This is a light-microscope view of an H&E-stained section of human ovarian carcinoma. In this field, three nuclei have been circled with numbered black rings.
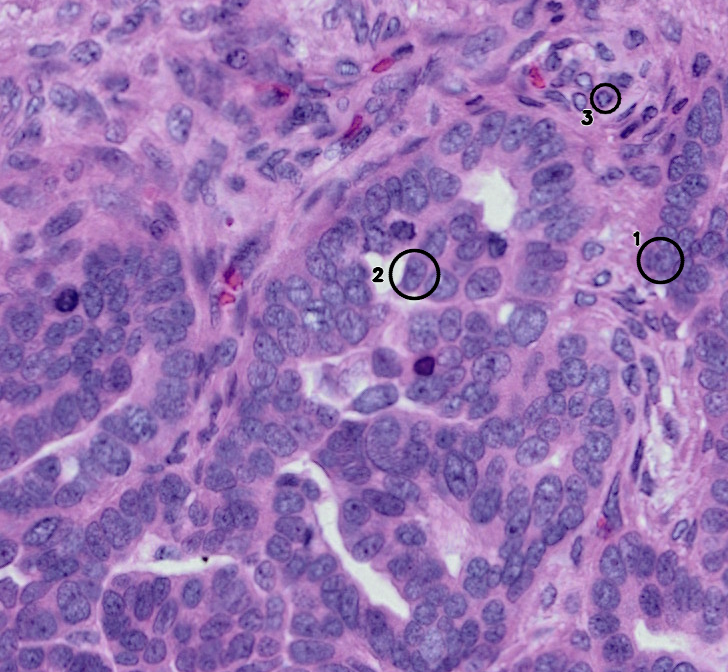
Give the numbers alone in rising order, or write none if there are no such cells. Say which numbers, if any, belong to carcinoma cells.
1, 2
